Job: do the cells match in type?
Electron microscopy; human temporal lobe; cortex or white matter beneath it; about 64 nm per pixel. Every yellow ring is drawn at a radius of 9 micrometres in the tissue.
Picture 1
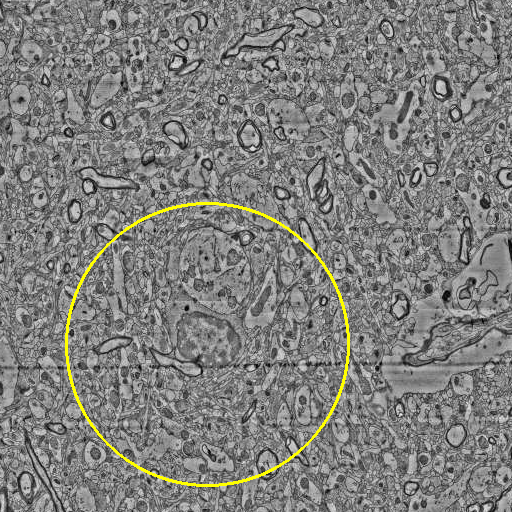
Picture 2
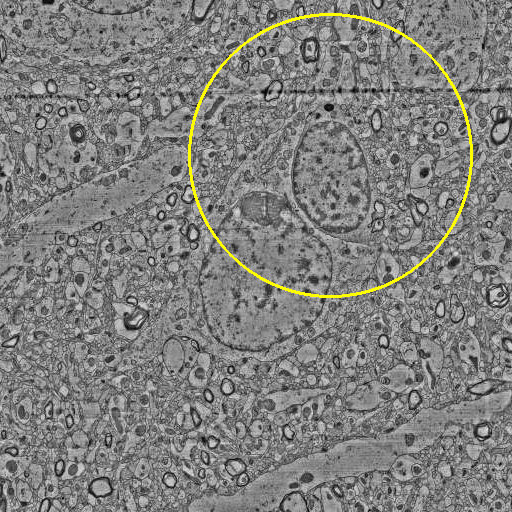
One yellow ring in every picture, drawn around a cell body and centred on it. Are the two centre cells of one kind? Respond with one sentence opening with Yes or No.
Yes, the ringed cells in the two pictures are of one and the same kind.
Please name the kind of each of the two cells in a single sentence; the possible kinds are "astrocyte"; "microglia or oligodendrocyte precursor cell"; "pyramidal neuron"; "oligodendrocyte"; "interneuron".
Both the first and the second picture show an oligodendrocyte in the ring.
